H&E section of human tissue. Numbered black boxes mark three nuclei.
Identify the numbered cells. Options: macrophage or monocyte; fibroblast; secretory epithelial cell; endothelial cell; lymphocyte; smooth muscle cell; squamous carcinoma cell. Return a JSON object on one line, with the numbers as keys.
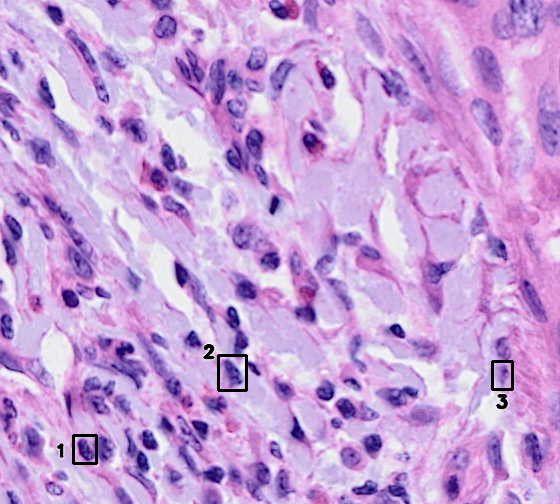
{"1": "lymphocyte", "2": "lymphocyte", "3": "fibroblast"}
